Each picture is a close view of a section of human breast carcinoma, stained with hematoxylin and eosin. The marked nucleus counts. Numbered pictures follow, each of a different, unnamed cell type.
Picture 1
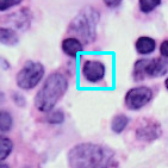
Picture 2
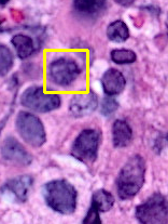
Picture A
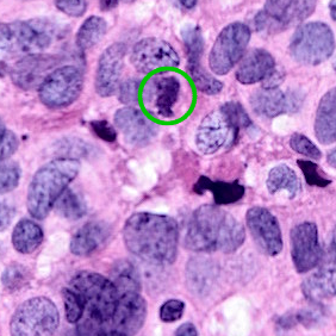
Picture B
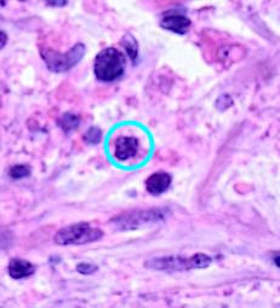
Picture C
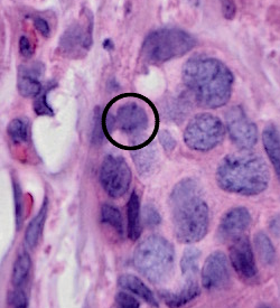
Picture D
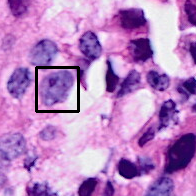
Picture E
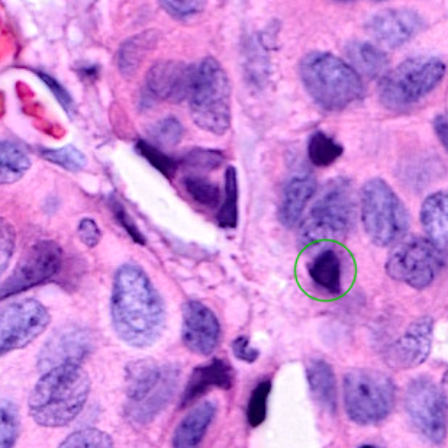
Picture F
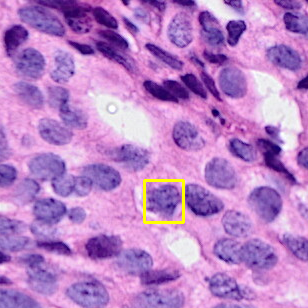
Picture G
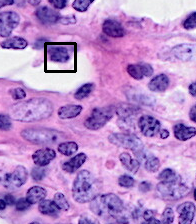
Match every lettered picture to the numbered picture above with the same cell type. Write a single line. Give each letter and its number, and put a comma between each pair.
A 2, B 1, C 2, D 2, E 2, F 2, G 1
